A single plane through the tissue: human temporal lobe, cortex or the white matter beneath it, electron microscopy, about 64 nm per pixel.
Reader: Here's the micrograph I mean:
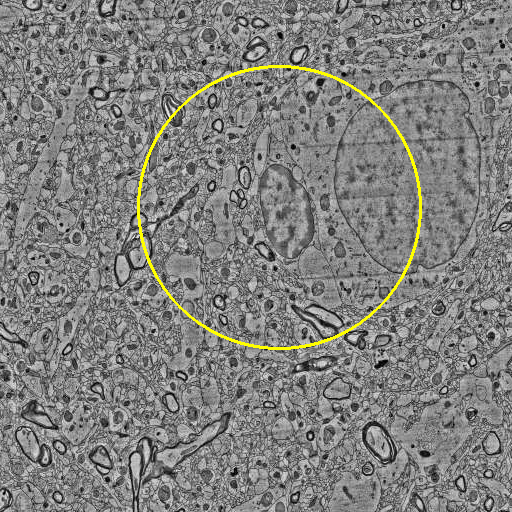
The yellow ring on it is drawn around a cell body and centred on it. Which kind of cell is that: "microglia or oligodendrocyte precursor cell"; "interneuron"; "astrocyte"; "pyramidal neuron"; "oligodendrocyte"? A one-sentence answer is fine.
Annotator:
The ring is centred on a microglial cell or oligodendrocyte precursor cell.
